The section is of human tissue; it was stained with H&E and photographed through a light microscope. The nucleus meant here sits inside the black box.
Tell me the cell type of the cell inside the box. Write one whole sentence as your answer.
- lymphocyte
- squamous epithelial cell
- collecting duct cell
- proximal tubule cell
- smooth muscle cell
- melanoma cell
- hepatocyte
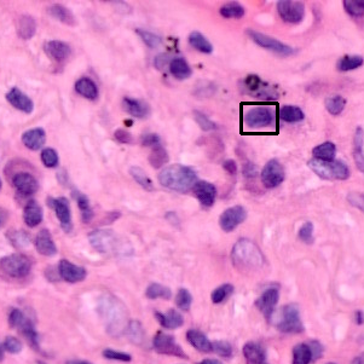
The cell meant here is a lymphocyte.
